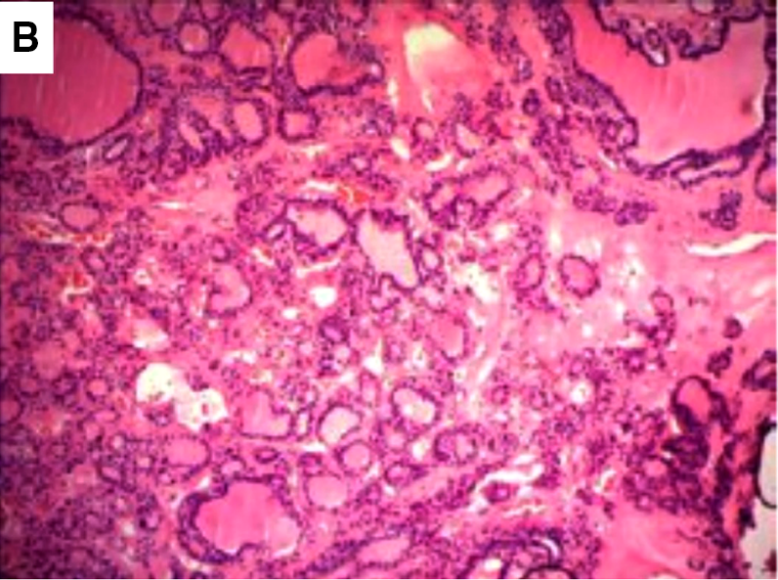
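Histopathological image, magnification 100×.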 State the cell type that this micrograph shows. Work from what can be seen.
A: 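Numerous round follicles are lined by a single layer of cuboidal cells. The follicle lumina contain pink colloid.
Thyroid follicular epithelial cells.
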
